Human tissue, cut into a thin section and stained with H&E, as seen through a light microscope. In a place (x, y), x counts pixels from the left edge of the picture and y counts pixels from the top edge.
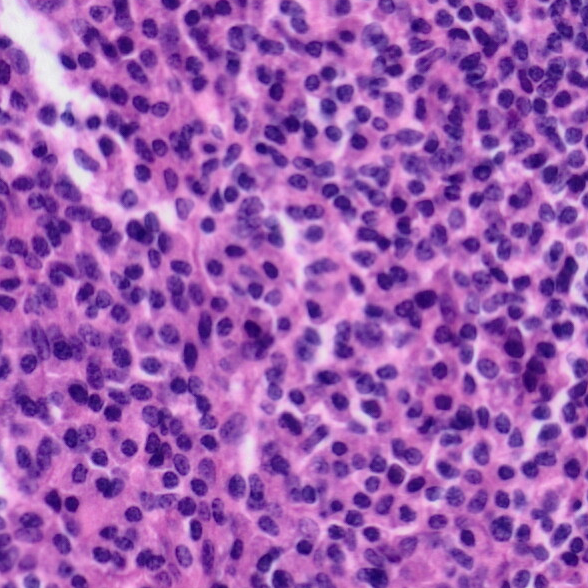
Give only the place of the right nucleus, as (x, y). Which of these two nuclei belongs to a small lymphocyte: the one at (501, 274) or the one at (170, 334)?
(501, 274)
